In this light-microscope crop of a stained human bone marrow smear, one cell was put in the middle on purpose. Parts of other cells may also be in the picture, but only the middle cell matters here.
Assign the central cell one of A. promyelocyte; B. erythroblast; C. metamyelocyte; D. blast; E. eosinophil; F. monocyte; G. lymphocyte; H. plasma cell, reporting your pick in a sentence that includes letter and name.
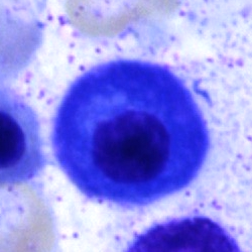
The middle of the crop holds a plasma cell, which points to option H.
